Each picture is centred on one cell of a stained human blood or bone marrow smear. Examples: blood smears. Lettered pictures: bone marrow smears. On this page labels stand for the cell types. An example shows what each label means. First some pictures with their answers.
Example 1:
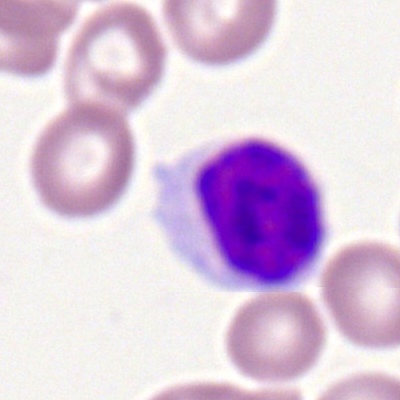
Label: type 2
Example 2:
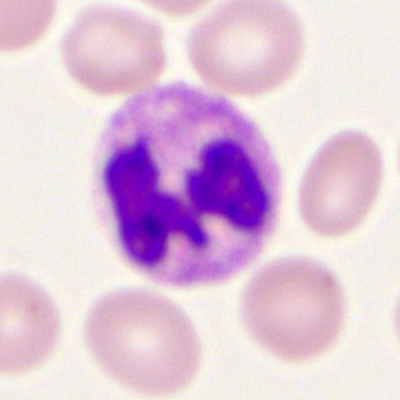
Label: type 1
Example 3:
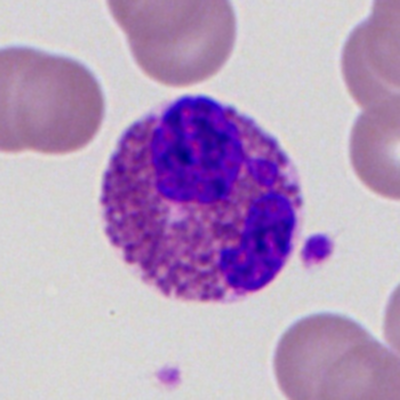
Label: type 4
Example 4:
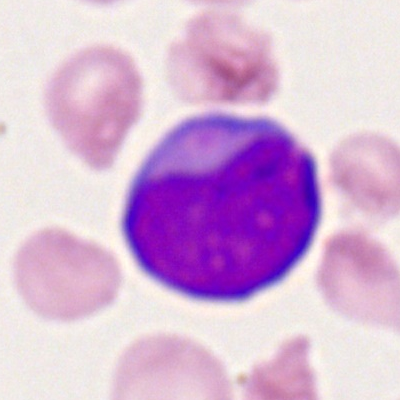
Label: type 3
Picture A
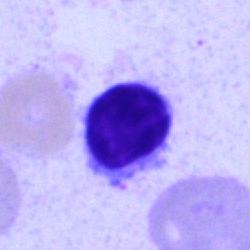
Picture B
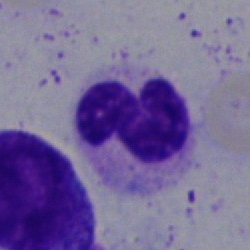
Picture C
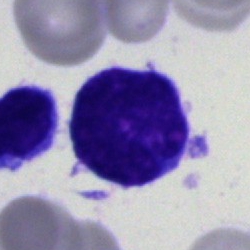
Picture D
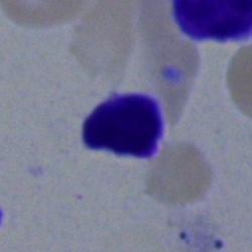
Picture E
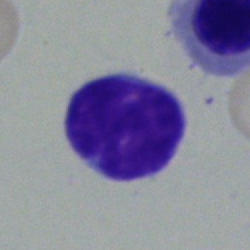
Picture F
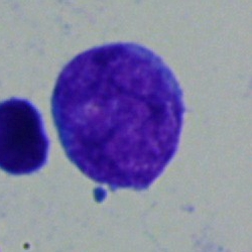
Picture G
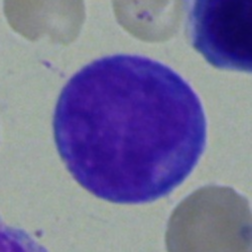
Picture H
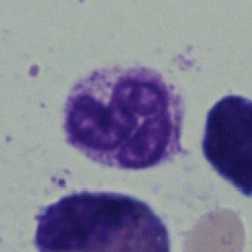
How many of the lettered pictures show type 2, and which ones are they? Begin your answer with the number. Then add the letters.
3, namely A, D, E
